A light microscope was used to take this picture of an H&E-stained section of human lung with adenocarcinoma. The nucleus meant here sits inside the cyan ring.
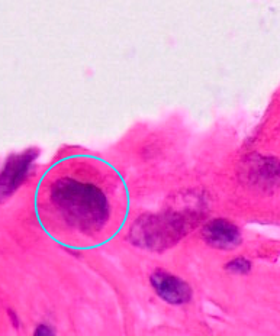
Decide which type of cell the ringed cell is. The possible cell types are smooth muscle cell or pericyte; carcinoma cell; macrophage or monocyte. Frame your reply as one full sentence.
Assigned to a cell type, the ringed cell is a carcinoma cell.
